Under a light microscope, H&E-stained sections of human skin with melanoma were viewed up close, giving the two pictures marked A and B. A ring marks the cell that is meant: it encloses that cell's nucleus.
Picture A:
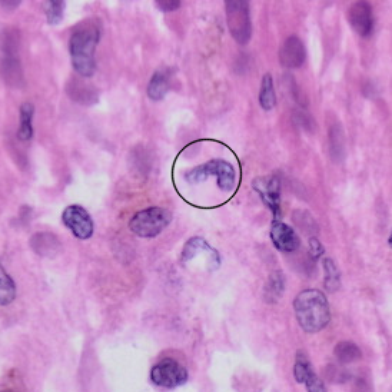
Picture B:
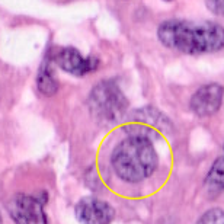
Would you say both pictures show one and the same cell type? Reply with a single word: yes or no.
no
